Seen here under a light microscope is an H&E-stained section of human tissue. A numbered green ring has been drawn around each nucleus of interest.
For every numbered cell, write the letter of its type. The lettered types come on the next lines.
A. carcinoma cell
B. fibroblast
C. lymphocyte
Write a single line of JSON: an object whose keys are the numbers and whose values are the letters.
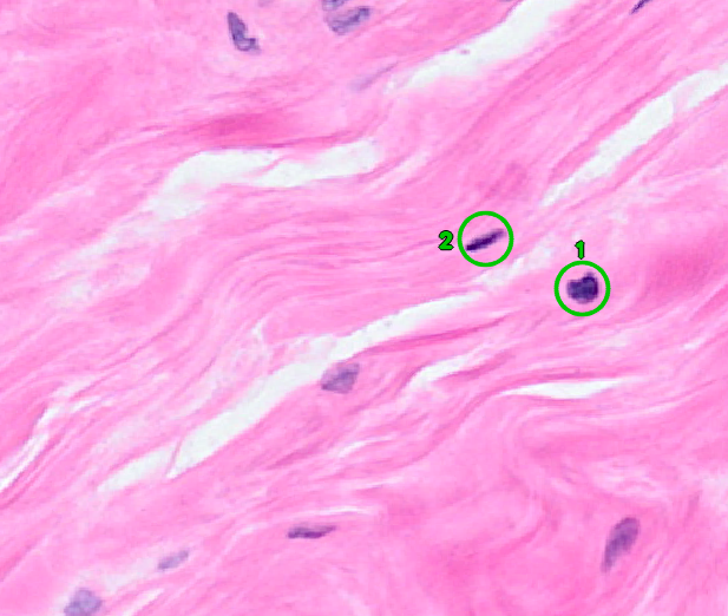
{"1": "C", "2": "B"}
